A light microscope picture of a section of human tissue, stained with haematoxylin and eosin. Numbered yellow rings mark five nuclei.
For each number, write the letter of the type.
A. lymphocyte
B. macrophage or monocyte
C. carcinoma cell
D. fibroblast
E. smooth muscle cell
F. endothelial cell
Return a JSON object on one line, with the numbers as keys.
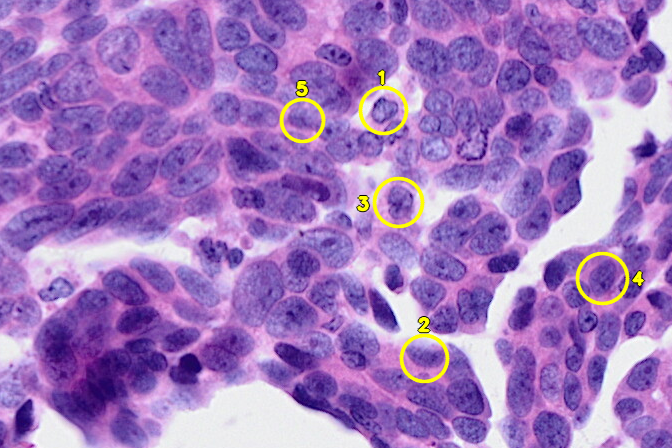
{"1": "B", "2": "C", "3": "B", "4": "C", "5": "C"}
